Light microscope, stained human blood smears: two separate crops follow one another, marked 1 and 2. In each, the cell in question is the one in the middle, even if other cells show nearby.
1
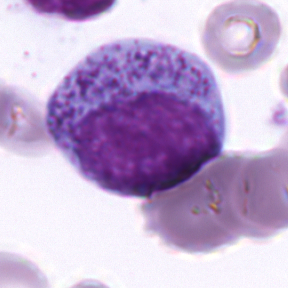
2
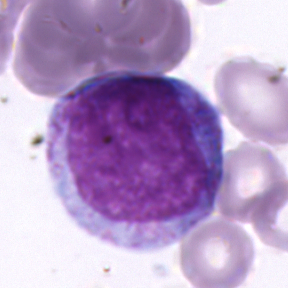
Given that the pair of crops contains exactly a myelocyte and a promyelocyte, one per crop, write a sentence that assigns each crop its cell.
Crop 1 holds a myelocyte; a promyelocyte occupies crop 2.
